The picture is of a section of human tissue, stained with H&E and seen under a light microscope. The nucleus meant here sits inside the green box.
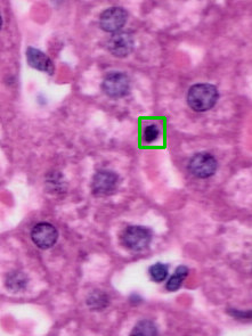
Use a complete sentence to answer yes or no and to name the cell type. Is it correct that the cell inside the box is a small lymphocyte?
No, scored properly, the cell inside the box is a fibroblast or stellate cell rather than a small lymphocyte.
